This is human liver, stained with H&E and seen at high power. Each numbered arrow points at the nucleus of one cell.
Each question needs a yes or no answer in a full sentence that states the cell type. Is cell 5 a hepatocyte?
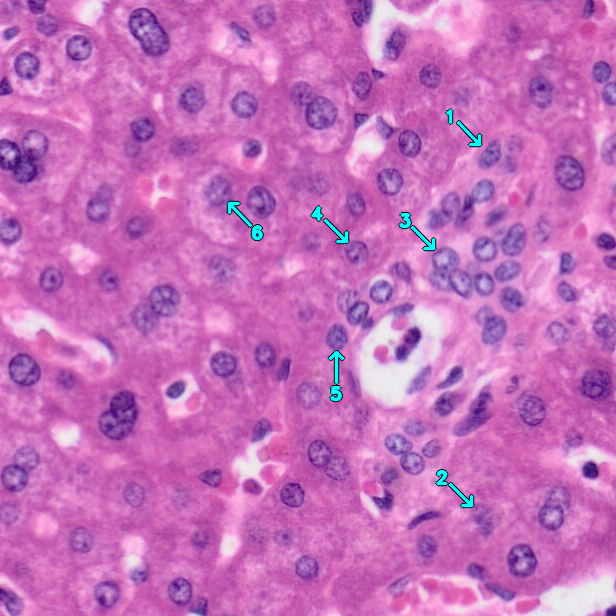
No, cell 5 is not a hepatocyte; it is a cholangiocyte.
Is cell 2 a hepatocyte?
Yes, number 2 marks a cell that is a hepatocyte.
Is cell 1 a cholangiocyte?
Yes, the cell shown as number 1 is a cholangiocyte.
